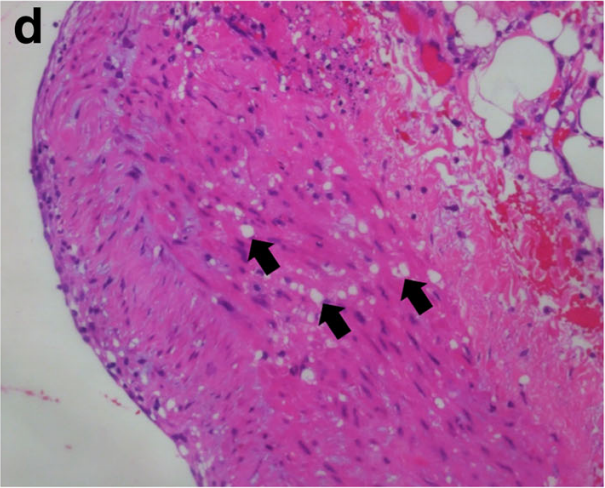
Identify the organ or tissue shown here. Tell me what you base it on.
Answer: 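Bundles of pink spindle cells with elongated nuclei run in parallel. Fat cells lie at the outer edge, at upper right.
Conclusion: medial muscle layer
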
